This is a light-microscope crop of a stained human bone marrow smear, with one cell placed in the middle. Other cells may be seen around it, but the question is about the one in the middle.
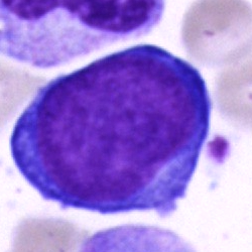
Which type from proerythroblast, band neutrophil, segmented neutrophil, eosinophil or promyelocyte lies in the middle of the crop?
proerythroblast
